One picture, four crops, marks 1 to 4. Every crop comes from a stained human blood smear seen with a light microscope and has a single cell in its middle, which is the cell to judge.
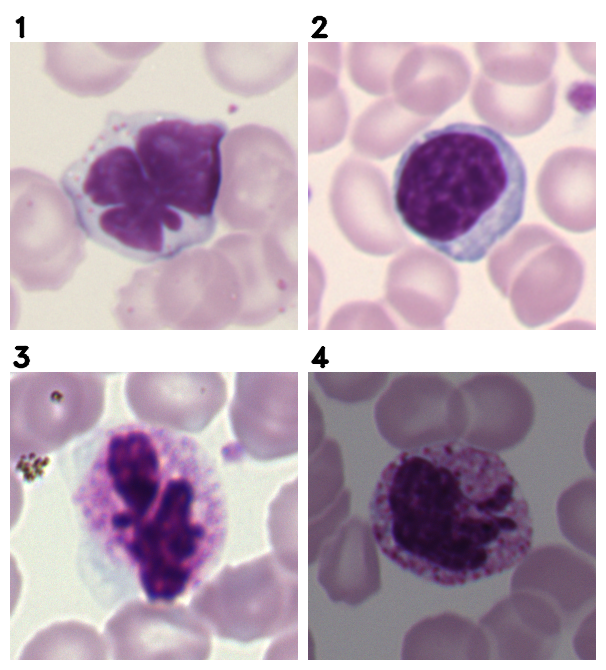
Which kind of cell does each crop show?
1: large granular lymphocyte
2: typical lymphocyte
3: segmented neutrophil
4: segmented neutrophil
